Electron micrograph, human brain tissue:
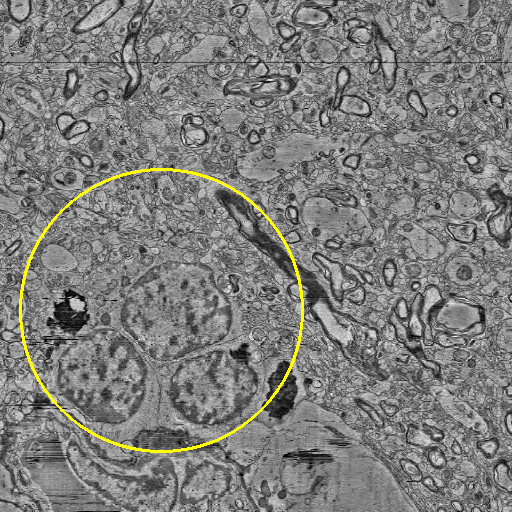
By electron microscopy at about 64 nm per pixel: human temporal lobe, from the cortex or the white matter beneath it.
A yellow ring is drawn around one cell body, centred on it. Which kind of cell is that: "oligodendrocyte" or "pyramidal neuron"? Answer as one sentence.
It is an oligodendrocyte at the centre of the ring.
